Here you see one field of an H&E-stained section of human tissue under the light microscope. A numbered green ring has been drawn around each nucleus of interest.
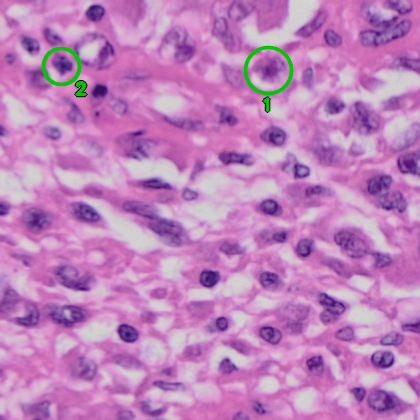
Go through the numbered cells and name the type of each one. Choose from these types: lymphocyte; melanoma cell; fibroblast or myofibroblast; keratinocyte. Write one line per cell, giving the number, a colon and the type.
1: melanoma cell
2: lymphocyte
